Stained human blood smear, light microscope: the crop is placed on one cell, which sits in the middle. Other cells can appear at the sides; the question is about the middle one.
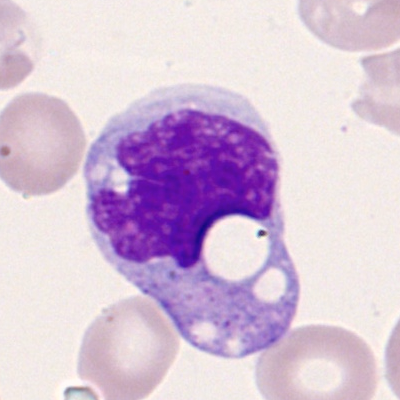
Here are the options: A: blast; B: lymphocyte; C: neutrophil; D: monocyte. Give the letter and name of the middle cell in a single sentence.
Answer key: option D, the middle cell being a monocyte.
